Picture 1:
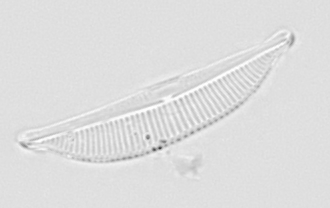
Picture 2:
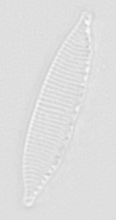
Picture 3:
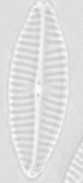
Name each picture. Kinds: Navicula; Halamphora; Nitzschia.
1: Halamphora
2: Nitzschia
3: Navicula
